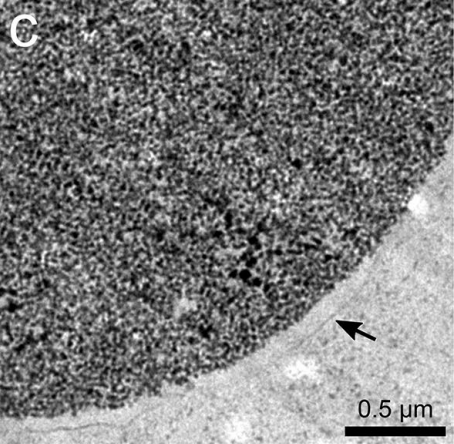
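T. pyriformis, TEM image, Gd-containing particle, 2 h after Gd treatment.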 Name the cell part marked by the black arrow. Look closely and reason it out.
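The line separates the particle from the paler surrounding cytoplasm. That points to this answer: membrane.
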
